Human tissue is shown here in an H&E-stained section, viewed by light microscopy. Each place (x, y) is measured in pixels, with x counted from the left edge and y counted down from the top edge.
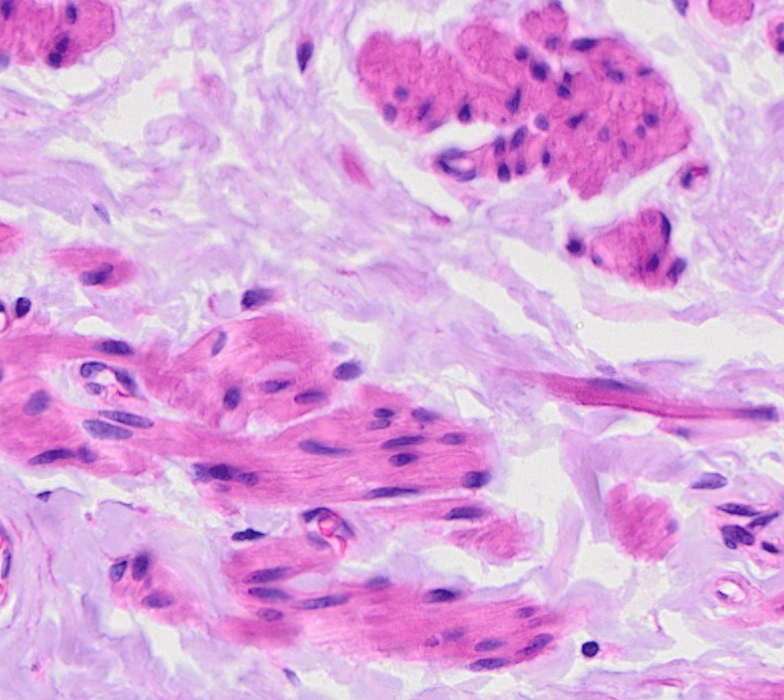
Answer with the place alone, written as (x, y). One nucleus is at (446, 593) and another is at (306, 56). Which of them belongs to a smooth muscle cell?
(446, 593)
